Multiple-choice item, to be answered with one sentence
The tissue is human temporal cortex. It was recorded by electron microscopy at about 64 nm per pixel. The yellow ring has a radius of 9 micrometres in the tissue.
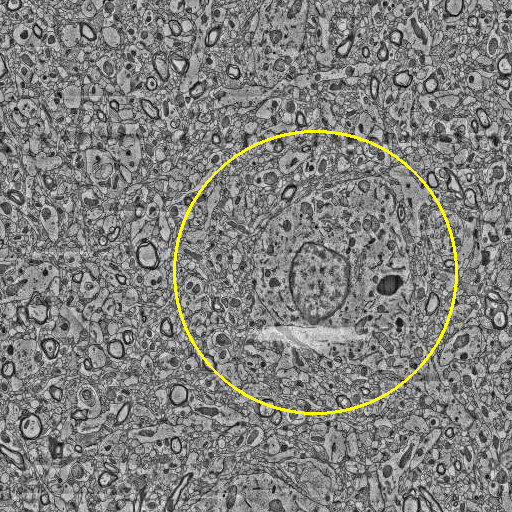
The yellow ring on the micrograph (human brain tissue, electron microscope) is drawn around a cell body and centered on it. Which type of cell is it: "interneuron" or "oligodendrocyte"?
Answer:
The ring is centered on an interneuron.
